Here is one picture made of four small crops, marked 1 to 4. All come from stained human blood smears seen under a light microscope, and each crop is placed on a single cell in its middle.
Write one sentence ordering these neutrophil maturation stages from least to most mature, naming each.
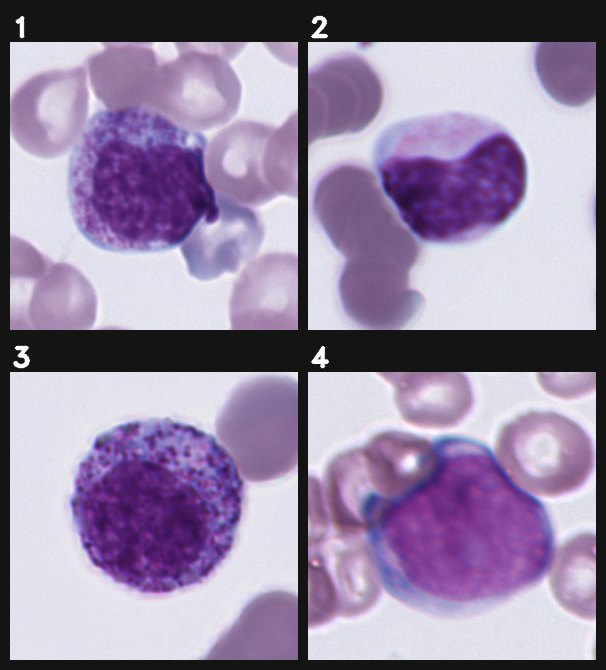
The proper maturity order, starting from the least mature, is crop 4 (a myeloblast), crop 3 (a promyelocyte), crop 1 (a myelocyte) and crop 2 (a band neutrophil).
